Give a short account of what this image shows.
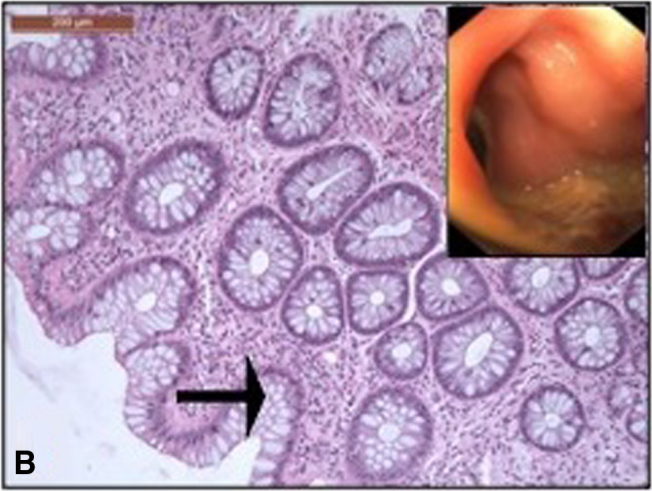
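This is colonic mucosa cut across its crypts, which appear as many round glands packed closely side by side. Each gland is lined by a single row of columnar cells with dark basal nuclei and many pale, rounded goblet cells around a small central lumen. Between the glands lies a thin lamina propria with scattered small round cells.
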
